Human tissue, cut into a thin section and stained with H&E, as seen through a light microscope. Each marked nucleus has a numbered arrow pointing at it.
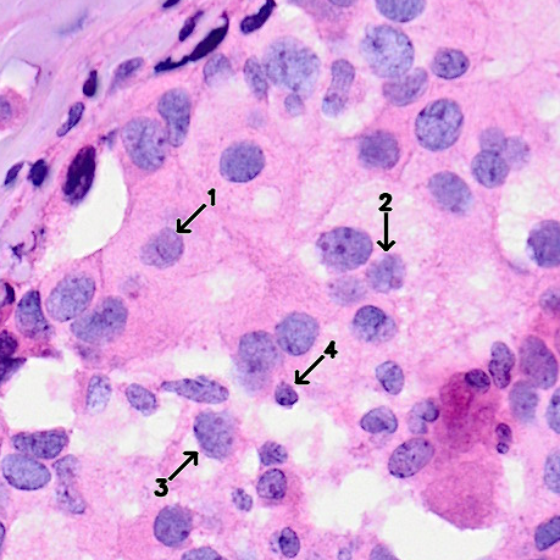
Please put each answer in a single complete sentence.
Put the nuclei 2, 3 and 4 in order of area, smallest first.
From smallest to largest, the order is 4, 2, 3.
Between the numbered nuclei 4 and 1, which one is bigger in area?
Nucleus 1 is the larger one, covering about 2.5 times the area of nucleus 4.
